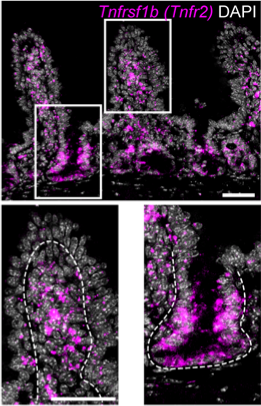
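This is intestinal mucosa in section, with villi projecting upward and crypts packed at the base. The epithelium is a single layer of columnar cells with elongated white nuclei lining each villus and crypt. In the enlarged views a dashed line follows the boundary between the epithelial layer and the loose inner connective tissue core, which holds scattered rounded and spindle-shaped nuclei.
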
